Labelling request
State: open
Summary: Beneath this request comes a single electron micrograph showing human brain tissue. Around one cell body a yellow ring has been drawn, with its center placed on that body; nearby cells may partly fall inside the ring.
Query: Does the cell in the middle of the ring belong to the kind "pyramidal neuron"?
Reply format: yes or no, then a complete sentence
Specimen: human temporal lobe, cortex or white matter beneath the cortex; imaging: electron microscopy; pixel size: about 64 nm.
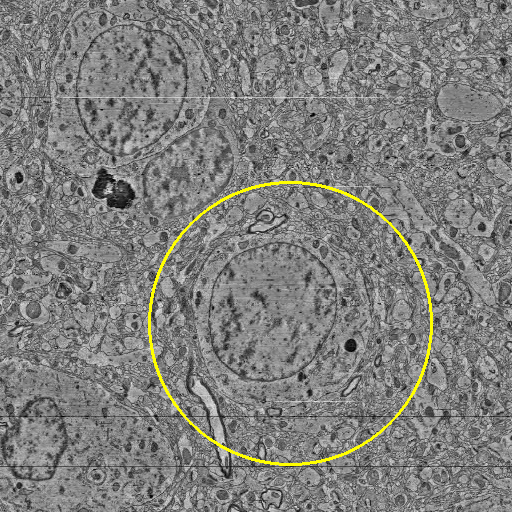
Yes, the cell sitting at the center of the ring in this picture is of that kind.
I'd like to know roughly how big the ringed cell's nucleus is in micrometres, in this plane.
Roughly 9 micrometres across for the nucleus, in this plane.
